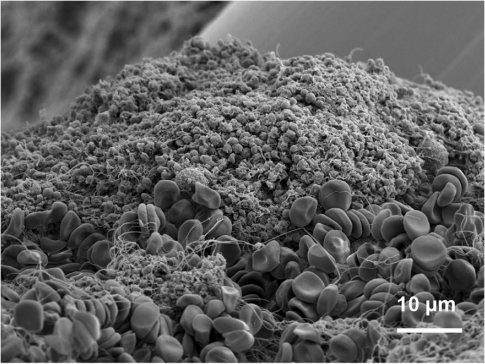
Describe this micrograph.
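The surface of a thrombus shows numerous biconcave red blood cells, disc-shaped with a central depression, clustered at the base of a mound. Above them lies a cap of tightly packed small granular platelets, and thin fibrin strands run across the red cells.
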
